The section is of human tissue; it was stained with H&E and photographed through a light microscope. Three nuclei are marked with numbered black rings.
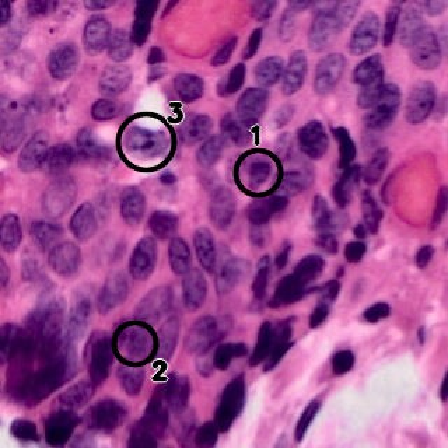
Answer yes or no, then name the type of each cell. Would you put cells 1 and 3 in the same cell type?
No, by type, cell 1 is a carcinoma cell and cell 3 is a macrophage or monocyte.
